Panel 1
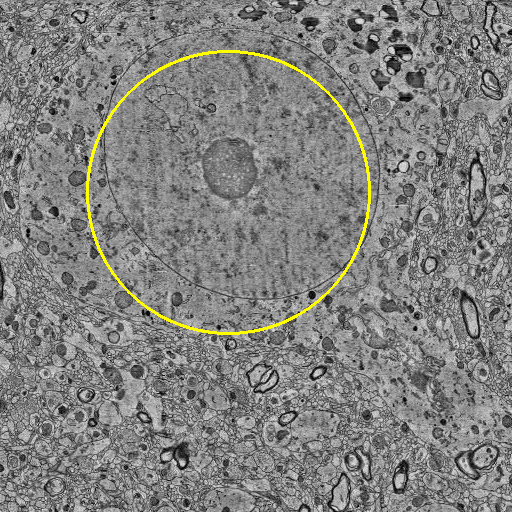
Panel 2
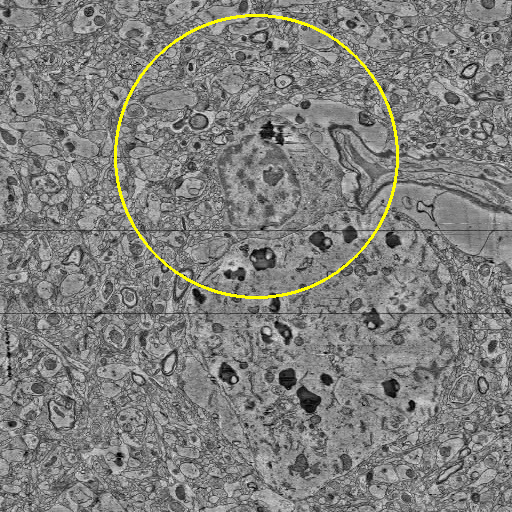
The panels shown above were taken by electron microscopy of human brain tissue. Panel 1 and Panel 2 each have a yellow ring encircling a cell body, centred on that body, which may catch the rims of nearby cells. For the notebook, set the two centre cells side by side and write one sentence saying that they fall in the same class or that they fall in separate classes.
The centred cells of Panel 1 and Panel 2 fall in separate classes.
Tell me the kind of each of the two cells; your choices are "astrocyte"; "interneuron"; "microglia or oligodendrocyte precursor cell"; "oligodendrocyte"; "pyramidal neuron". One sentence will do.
The ringed cell is a pyramidal neuron in the first picture and an oligodendrocyte in the second picture.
